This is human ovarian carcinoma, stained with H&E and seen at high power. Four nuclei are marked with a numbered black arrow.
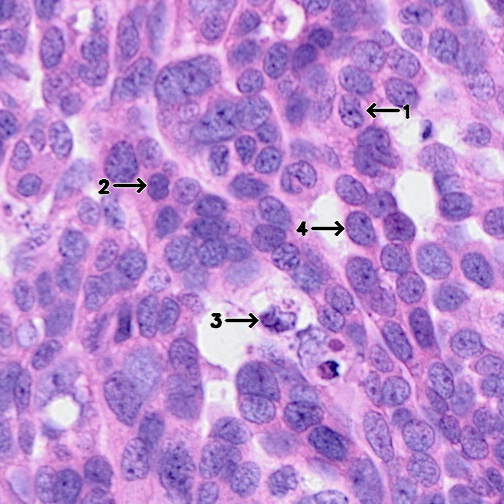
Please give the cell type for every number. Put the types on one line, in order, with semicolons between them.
macrophage or monocyte; carcinoma cell; macrophage or monocyte; carcinoma cell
